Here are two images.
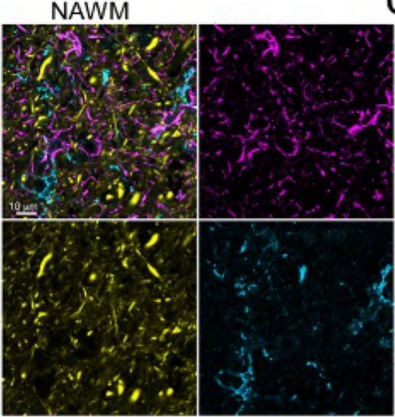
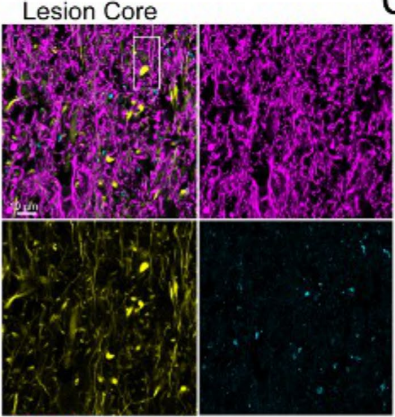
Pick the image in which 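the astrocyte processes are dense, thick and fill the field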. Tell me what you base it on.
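Second image: magenta processes form a thick, dense meshwork across the whole field. First image: magenta processes are sparse and scattered with much dark space between.
Answer: the second image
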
